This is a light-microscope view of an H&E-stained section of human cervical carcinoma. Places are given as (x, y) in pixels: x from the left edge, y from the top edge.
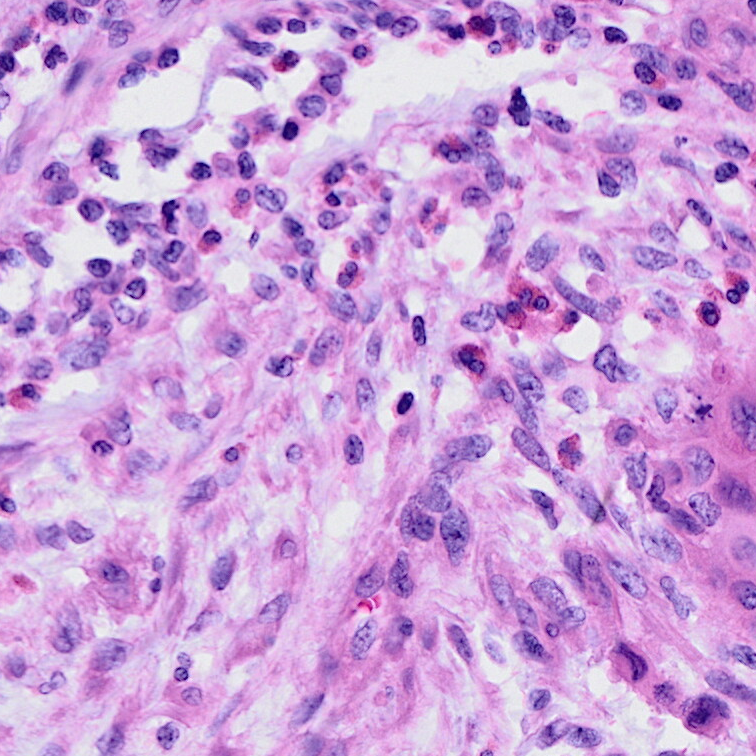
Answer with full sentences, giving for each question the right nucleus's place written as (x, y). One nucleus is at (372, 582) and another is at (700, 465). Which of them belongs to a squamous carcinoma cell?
The pair contains one nucleus of a squamous carcinoma cell, namely the one at (700, 465).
